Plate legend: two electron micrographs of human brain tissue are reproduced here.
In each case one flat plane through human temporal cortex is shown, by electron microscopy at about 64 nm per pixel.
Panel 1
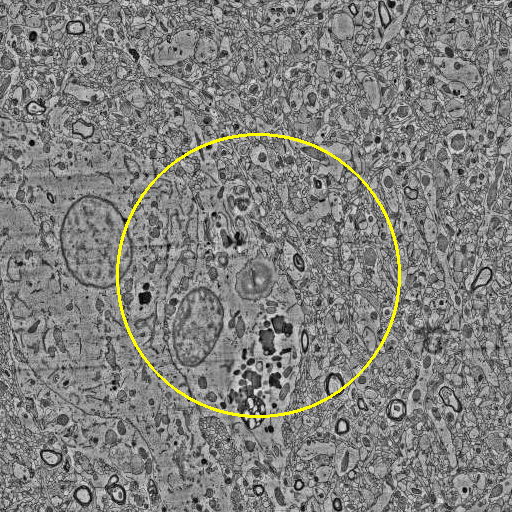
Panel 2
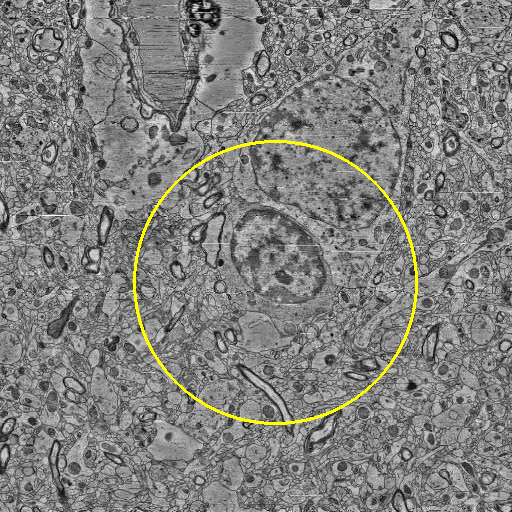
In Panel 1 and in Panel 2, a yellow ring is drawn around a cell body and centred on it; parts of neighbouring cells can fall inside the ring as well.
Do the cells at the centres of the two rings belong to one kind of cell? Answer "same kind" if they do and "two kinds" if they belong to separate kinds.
same kind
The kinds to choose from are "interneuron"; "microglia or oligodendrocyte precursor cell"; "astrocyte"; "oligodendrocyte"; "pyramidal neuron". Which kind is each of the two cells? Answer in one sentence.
The cell at the ring centre is an oligodendrocyte in both pictures.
